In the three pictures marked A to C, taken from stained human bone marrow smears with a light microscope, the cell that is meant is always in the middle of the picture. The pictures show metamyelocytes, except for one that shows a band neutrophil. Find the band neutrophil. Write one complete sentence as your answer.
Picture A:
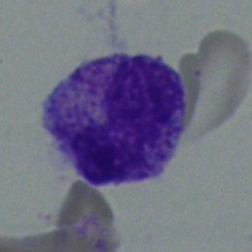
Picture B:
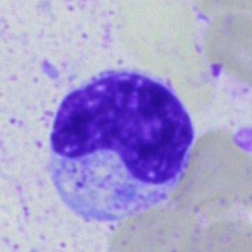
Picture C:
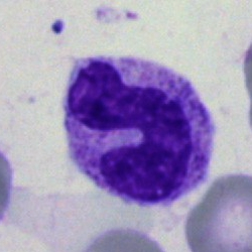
Picture C shows the band neutrophil.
